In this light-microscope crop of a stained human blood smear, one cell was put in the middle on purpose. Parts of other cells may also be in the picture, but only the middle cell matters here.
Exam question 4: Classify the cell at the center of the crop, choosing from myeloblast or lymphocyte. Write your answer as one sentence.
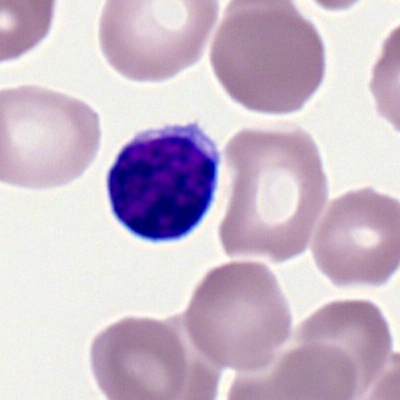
The central cell shown in this smear crop is a lymphocyte.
